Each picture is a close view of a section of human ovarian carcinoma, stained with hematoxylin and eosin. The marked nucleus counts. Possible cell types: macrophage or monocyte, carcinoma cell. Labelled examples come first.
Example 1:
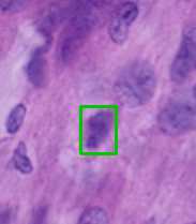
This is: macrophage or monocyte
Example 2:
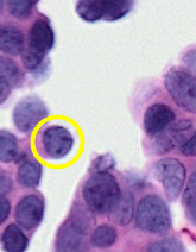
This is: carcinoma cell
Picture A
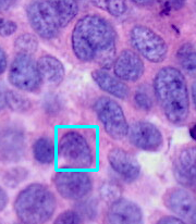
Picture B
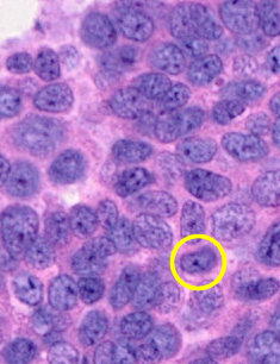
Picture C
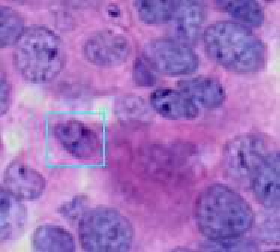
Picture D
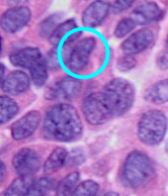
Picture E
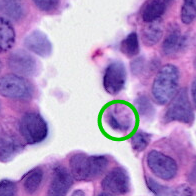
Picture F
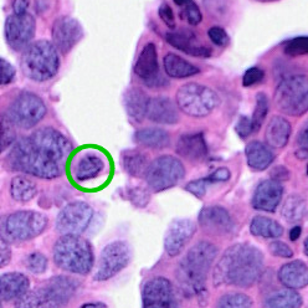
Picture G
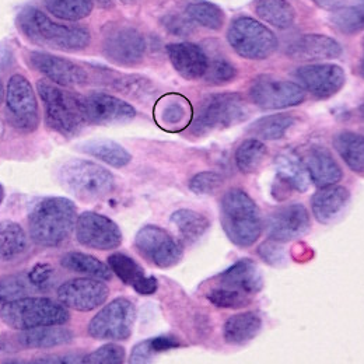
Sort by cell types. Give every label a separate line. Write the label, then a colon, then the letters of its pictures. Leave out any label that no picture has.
macrophage or monocyte: B, C, E, F, G
carcinoma cell: A, D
